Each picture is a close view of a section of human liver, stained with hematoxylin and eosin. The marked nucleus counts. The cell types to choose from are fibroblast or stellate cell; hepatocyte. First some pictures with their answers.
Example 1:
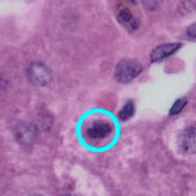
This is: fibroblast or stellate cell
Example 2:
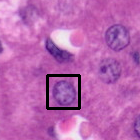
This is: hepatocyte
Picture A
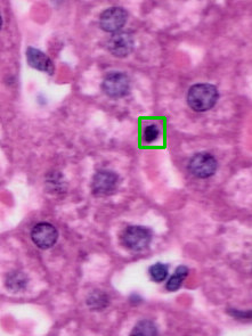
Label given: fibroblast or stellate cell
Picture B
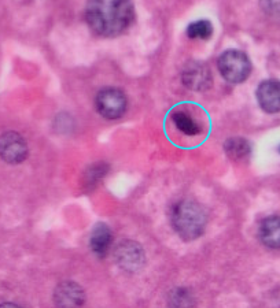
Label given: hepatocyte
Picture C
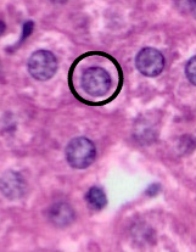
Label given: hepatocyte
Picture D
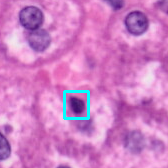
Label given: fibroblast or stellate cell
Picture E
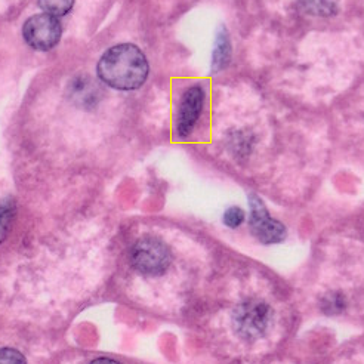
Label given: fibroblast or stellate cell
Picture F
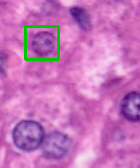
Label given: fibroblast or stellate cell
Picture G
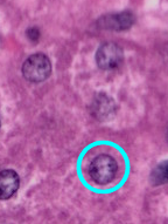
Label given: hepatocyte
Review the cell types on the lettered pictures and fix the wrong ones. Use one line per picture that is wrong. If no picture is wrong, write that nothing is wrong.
B: not hepatocyte but fibroblast or stellate cell
F: not fibroblast or stellate cell but hepatocyte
